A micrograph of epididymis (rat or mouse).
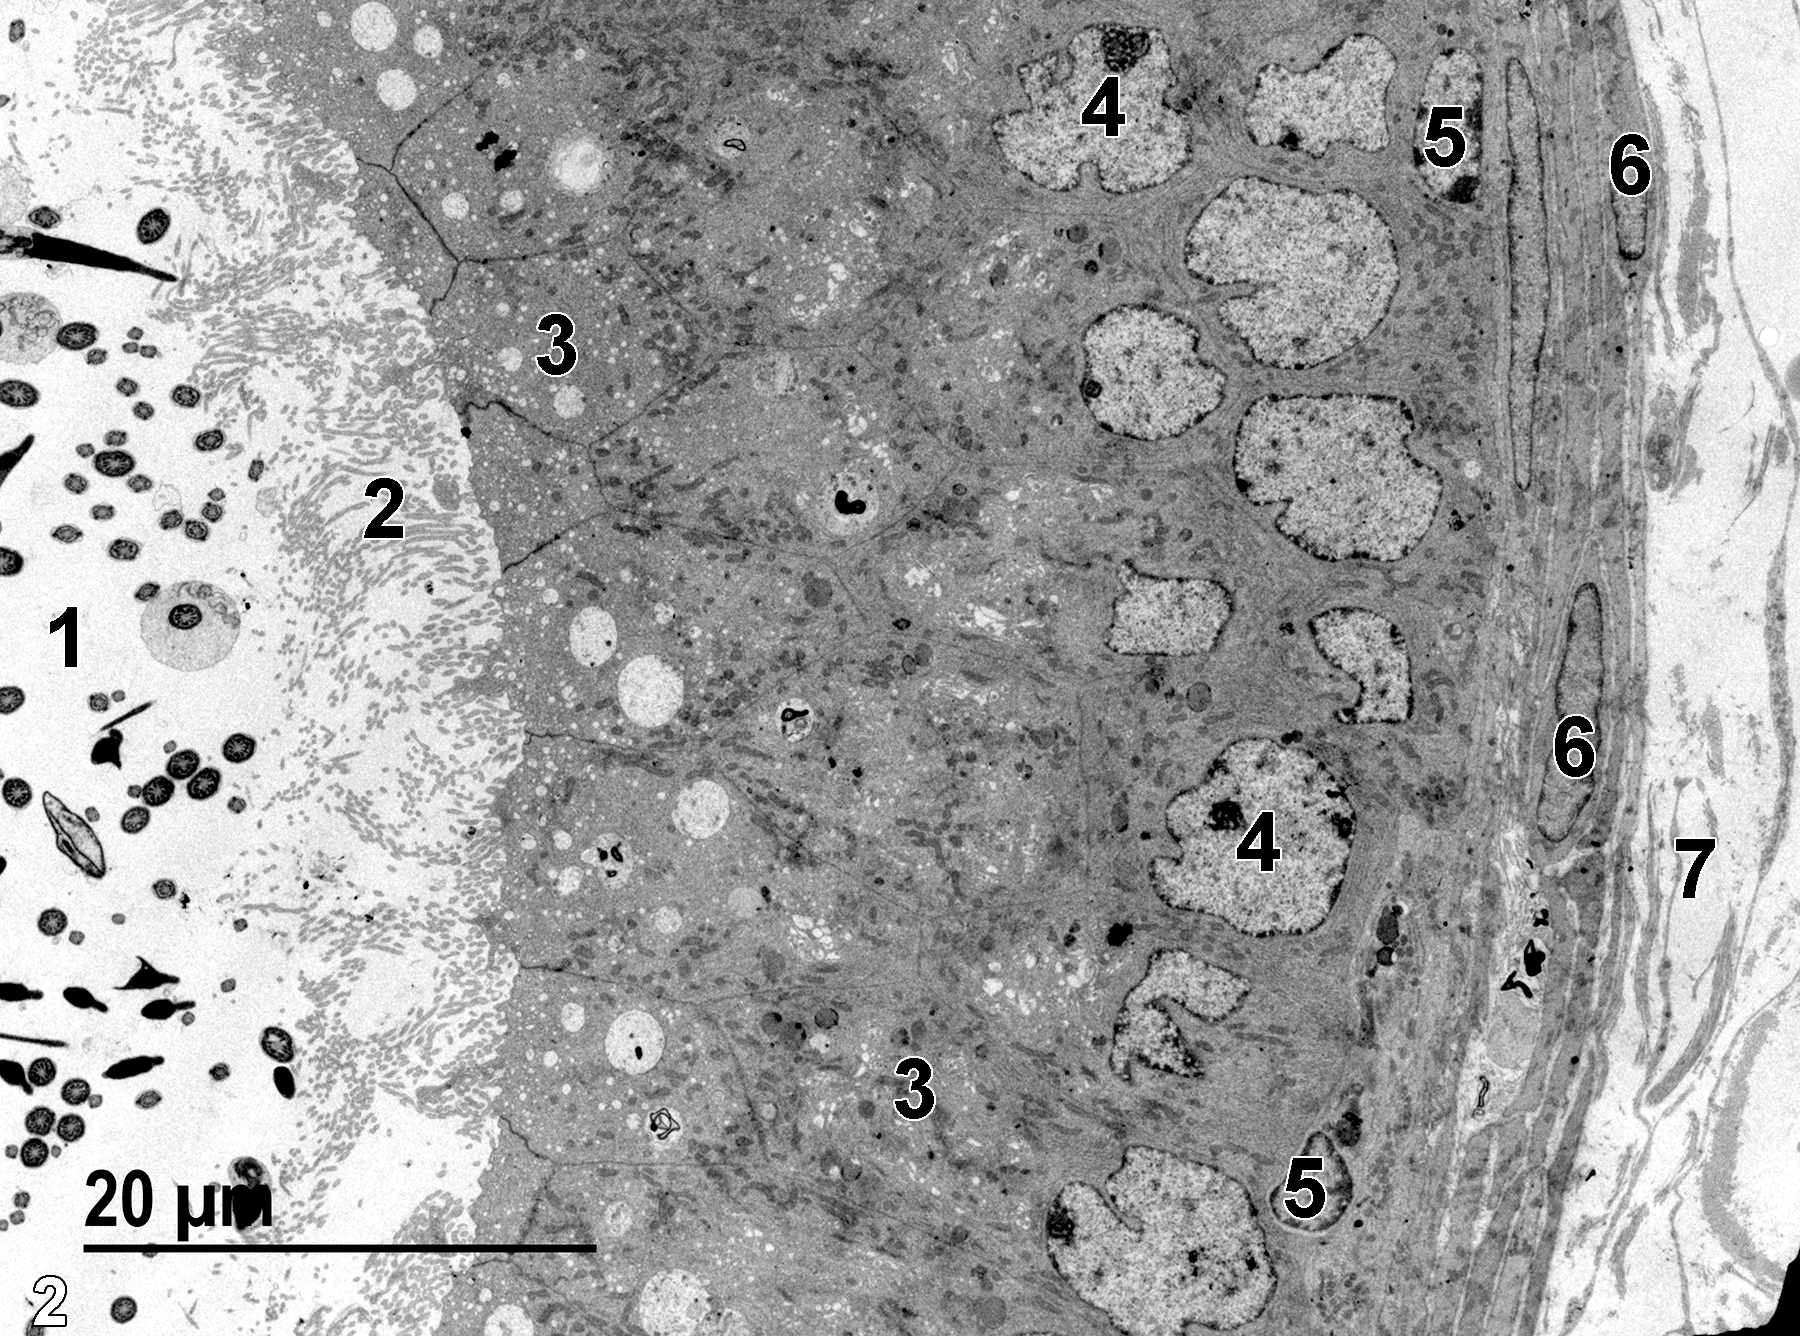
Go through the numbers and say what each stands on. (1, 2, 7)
1: lumen
2: stereocilia
7: bundles of collagen fibers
